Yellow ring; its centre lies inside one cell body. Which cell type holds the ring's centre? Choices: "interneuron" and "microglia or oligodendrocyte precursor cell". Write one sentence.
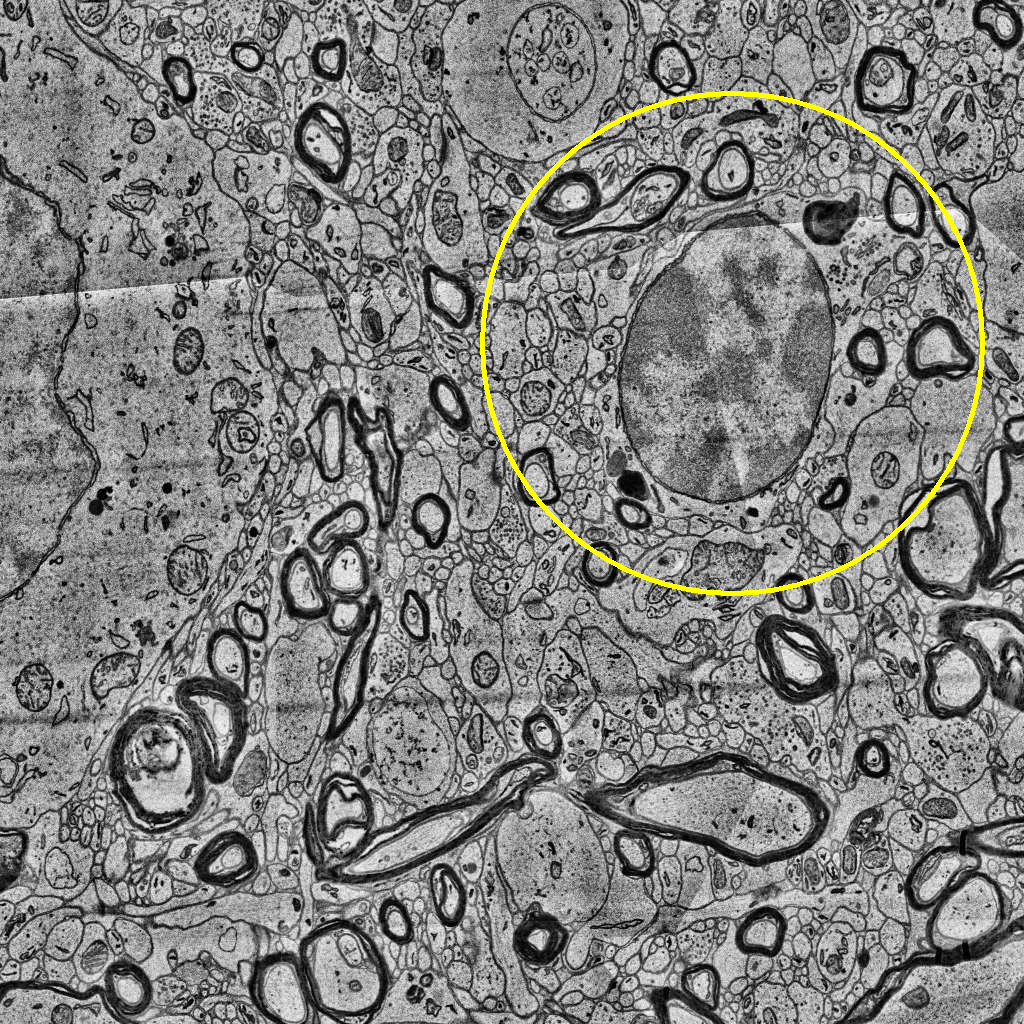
At the centre of the ring sits a microglial cell or oligodendrocyte precursor cell.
